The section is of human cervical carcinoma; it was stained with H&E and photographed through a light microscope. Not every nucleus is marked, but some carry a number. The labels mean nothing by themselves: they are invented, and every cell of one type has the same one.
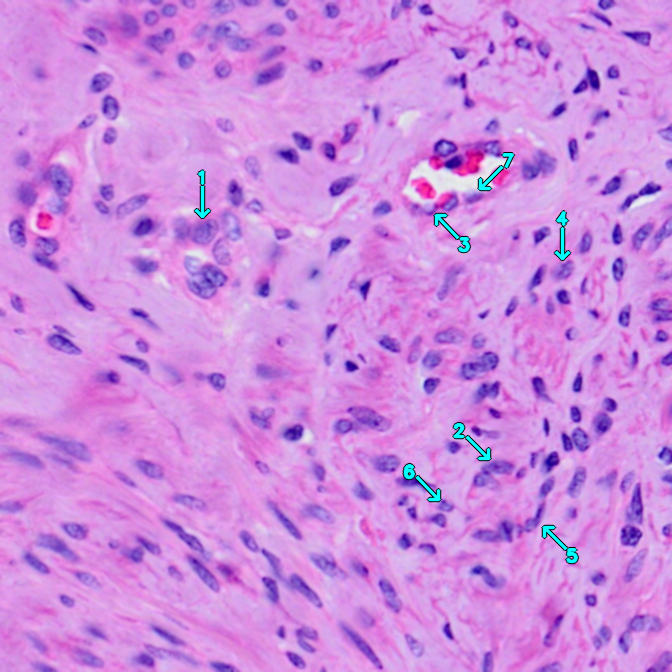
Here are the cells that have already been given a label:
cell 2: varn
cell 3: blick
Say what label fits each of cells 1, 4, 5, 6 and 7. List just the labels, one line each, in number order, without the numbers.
blick
varn
varn
varn
blick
